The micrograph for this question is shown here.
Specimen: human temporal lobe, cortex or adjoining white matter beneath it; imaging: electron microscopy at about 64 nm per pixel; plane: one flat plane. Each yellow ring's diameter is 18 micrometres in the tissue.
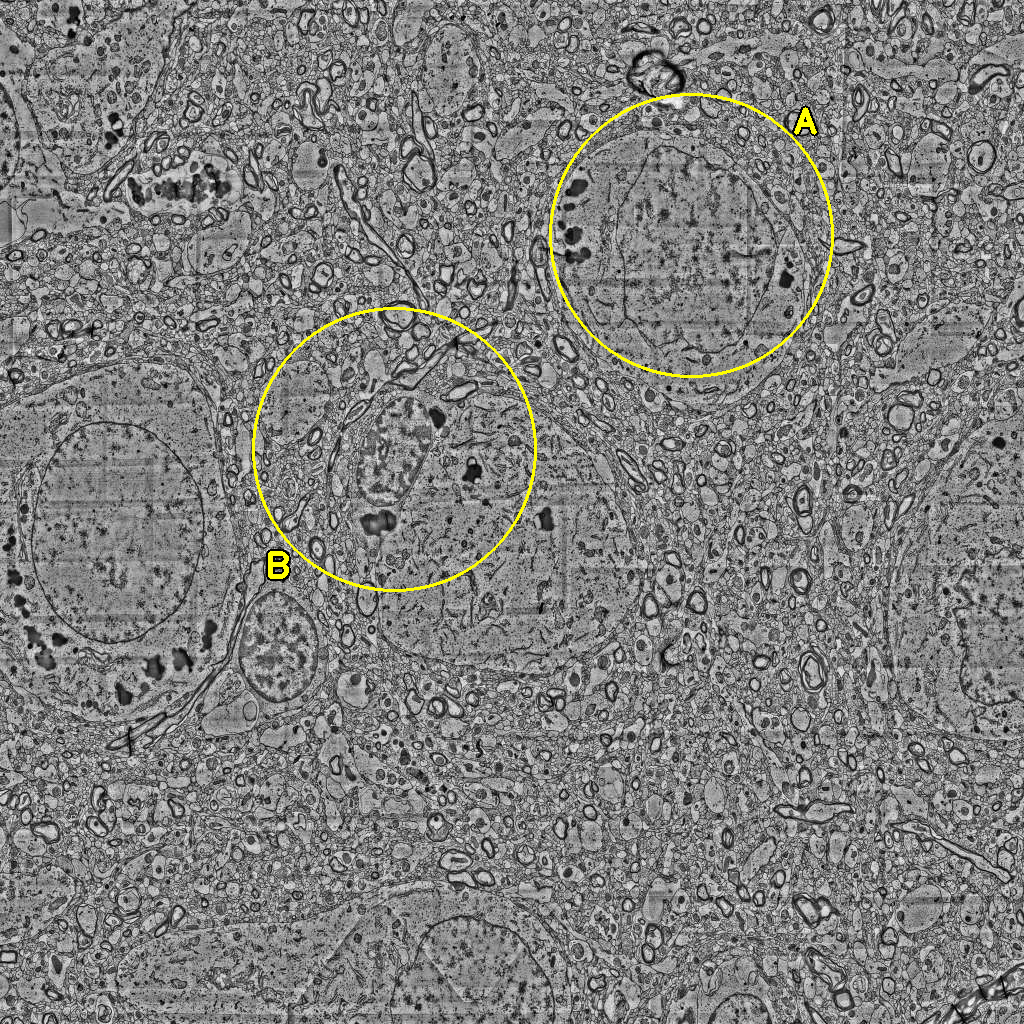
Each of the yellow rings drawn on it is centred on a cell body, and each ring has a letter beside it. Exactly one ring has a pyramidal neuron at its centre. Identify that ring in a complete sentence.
The ring centred on it is ring A.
